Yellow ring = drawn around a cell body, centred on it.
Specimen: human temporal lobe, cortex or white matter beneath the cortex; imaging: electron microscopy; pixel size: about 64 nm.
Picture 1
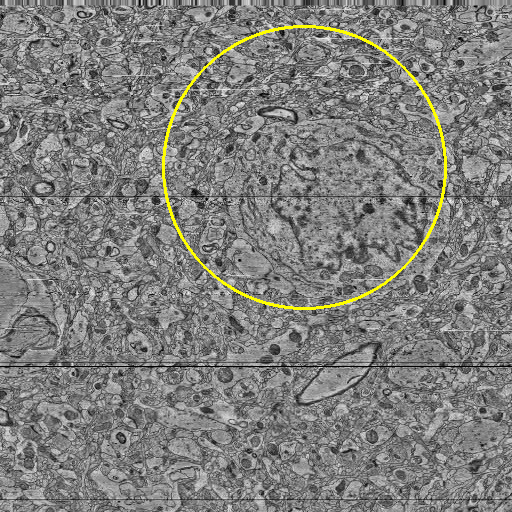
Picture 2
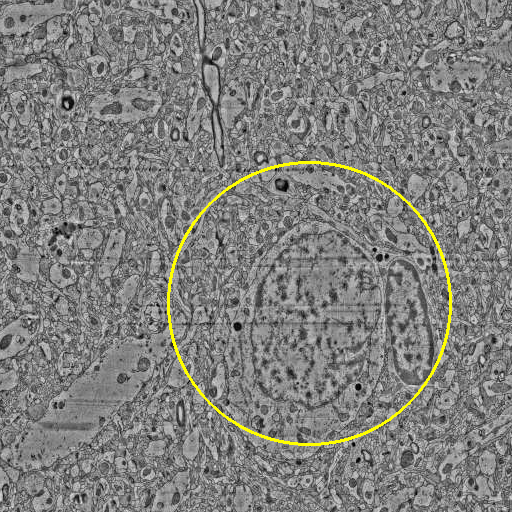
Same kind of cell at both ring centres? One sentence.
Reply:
Yes, they are the same kind of cell.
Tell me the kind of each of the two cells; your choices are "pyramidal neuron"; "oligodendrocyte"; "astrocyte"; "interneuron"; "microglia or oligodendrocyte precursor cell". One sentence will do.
In each picture the ringed cell is an interneuron.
